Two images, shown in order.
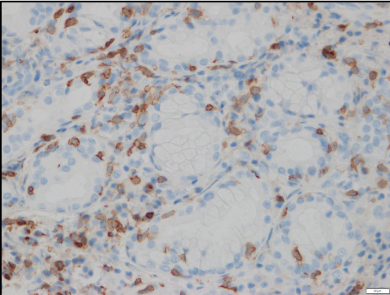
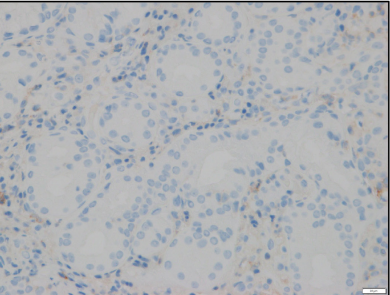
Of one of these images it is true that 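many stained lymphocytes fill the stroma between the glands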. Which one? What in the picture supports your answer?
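Second image: only a few faintly brown cells are present between glands. First image: numerous strongly brown cells crowd the stroma between glands. The answer: the first image.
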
